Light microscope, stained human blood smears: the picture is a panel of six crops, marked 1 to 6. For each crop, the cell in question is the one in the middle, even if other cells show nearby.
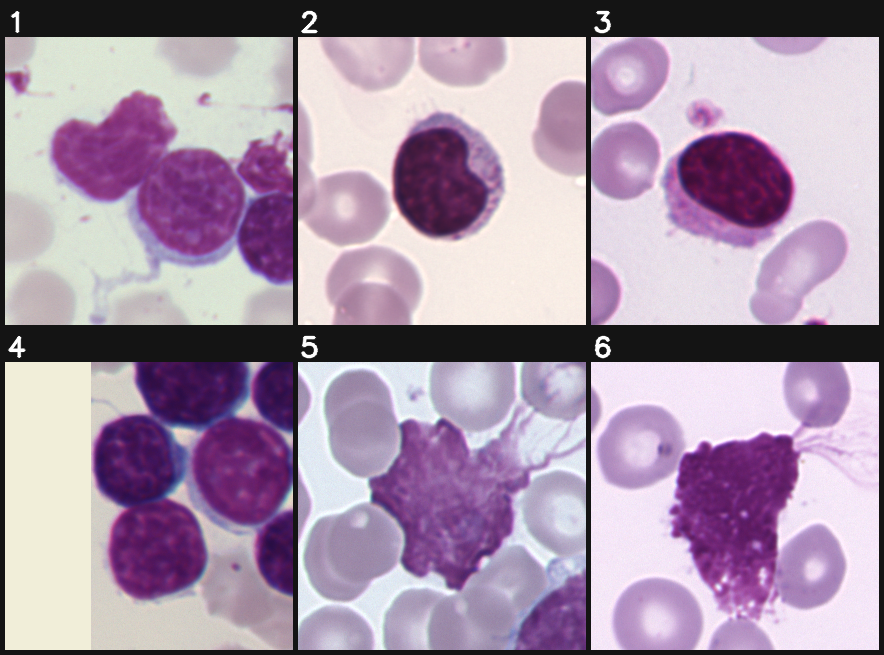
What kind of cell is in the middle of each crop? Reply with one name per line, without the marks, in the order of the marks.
myeloblast
large granular lymphocyte
large granular lymphocyte
myeloblast
smudge cell
smudge cell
